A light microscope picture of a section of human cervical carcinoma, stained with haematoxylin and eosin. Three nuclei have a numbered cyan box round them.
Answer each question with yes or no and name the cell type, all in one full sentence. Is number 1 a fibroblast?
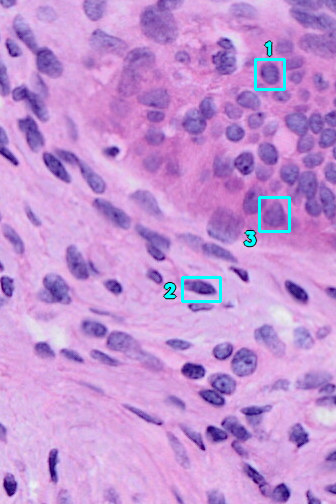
No, the cell tagged 1 is a secretory epithelial cell, and not a fibroblast.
